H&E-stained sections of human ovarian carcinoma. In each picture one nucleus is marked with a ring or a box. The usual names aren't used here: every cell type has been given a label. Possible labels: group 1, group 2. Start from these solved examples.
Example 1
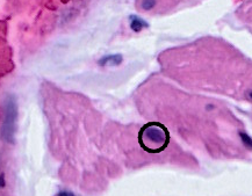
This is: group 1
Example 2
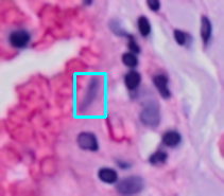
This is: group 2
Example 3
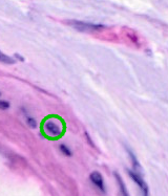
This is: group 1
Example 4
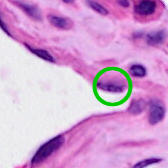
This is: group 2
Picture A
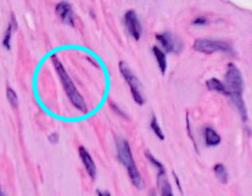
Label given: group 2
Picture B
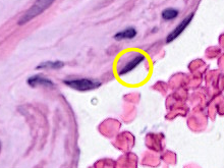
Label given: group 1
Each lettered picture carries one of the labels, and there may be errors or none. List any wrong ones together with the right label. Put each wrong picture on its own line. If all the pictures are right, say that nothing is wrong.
A: group 1, not group 2
B: group 2, not group 1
